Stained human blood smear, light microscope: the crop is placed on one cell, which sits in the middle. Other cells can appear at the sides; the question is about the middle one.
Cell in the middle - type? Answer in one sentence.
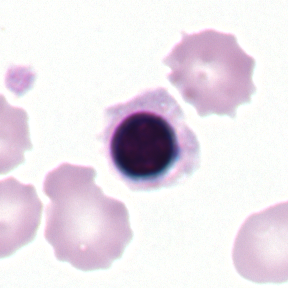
In the crop, the cell of interest at the centre is a normoblast.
